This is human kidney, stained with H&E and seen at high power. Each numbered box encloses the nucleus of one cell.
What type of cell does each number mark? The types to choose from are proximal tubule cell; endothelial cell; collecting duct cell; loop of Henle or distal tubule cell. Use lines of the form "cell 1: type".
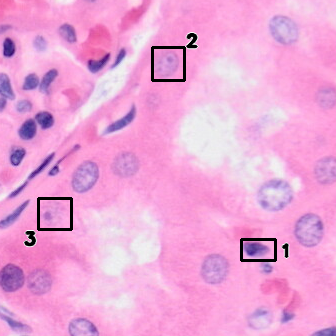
cell 1: endothelial cell
cell 2: proximal tubule cell
cell 3: proximal tubule cell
